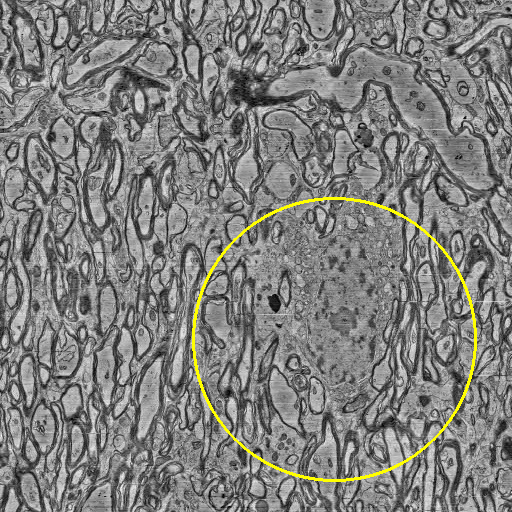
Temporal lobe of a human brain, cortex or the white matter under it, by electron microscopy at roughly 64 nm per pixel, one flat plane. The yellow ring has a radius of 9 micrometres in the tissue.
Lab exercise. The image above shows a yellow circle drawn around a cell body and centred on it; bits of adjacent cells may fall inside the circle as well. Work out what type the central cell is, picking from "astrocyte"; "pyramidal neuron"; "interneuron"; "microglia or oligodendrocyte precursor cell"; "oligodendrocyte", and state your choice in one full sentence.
In the image above, the cell at the centre of the yellow circle is an astrocyte.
